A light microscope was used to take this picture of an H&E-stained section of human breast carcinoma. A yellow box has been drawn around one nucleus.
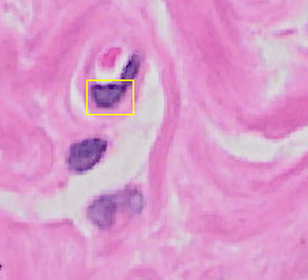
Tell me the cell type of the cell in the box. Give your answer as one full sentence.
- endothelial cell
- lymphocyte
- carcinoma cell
Microscopically, the cell in the box is categorized as an endothelial cell.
